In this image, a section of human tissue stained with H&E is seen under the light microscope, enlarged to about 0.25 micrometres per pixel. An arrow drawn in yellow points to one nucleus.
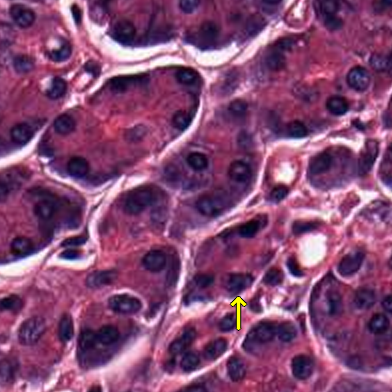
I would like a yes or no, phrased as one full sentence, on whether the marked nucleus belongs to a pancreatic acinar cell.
Yes, the marked nucleus belongs to a pancreatic acinar cell in this field.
